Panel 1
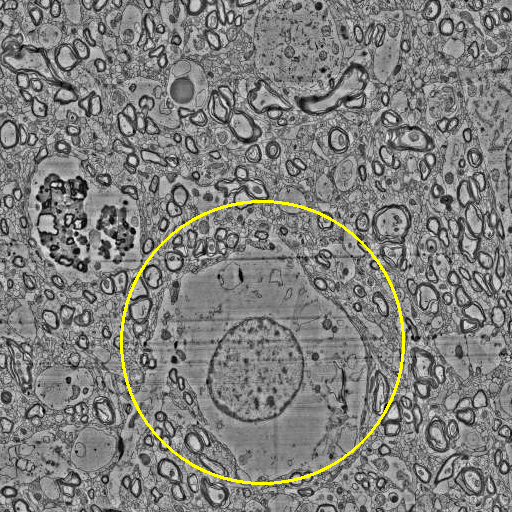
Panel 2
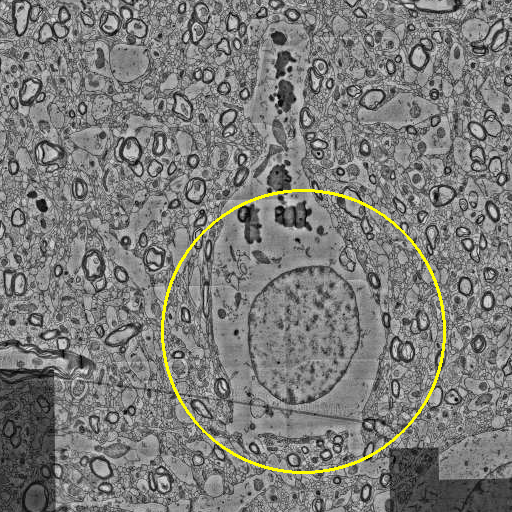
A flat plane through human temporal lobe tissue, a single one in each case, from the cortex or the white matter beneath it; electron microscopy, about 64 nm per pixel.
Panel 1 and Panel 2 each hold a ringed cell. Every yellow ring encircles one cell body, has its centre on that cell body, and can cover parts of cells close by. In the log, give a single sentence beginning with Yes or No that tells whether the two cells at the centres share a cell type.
Yes, in Panel 1 and Panel 2 the centred cells share a cell type.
